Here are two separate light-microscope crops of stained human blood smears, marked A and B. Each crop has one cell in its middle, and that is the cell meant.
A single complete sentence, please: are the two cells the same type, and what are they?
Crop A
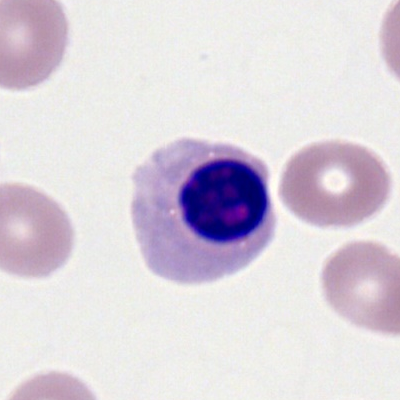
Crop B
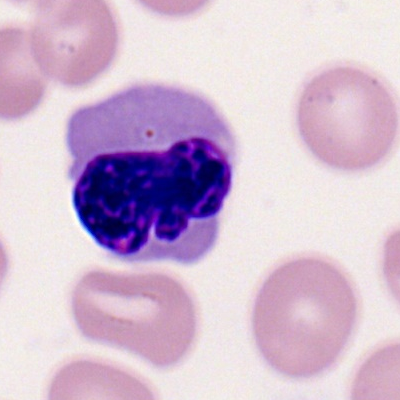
Yes, the cells at the centres of the two crops are erythroblasts.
